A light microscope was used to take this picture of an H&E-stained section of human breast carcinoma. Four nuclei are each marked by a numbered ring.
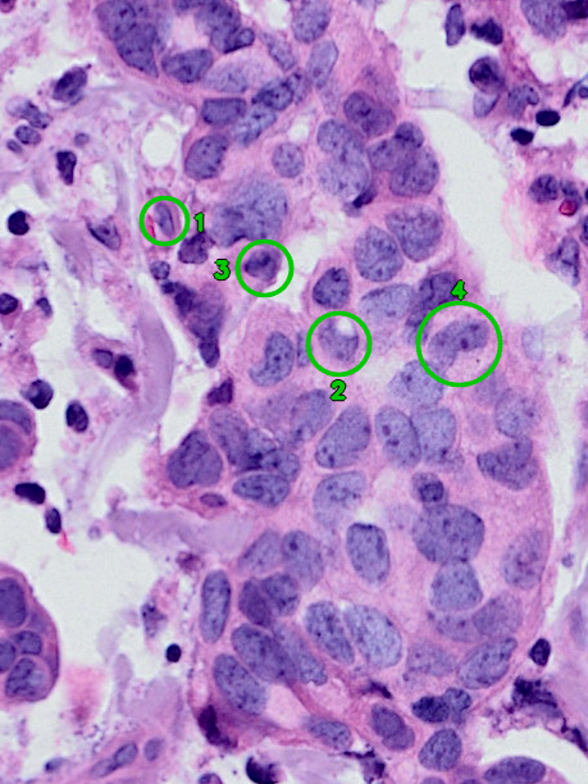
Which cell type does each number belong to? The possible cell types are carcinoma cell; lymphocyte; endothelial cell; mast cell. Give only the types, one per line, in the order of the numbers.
endothelial cell
carcinoma cell
carcinoma cell
carcinoma cell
